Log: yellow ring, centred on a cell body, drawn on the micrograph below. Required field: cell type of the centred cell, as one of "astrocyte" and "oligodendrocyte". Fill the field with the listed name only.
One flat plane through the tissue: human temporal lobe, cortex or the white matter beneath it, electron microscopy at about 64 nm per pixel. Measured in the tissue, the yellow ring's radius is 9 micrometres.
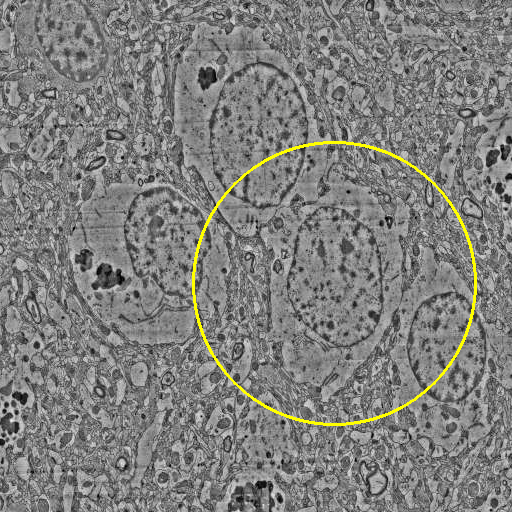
astrocyte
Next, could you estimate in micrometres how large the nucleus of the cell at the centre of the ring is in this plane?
In this plane, about 9 micrometres in length and 6 in width.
